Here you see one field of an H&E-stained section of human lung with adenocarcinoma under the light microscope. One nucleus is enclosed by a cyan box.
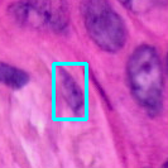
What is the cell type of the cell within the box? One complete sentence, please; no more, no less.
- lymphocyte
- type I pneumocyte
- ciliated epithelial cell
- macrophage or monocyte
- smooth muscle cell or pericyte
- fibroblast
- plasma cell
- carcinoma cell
In this section of tissue, the cell within the box is a fibroblast.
